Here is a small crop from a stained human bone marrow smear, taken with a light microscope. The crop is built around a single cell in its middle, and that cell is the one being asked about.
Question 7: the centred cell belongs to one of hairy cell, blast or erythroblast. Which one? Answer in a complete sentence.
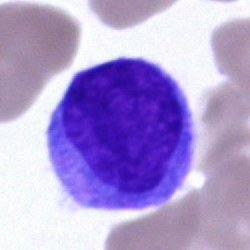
The middle cell in this particular crop is a blast.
